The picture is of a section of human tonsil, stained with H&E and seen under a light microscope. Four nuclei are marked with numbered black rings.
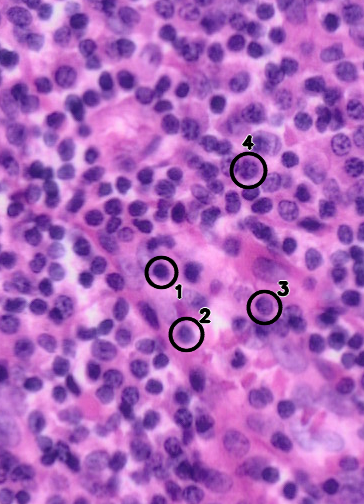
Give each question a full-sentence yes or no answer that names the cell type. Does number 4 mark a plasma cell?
Yes, exactly, the cell numbered 4 is a plasma cell.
